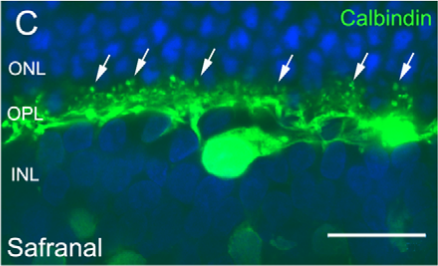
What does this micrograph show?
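This retinal section shows a horizontal cell and its terminals in the outer plexiform layer. A rounded green cell body sits in the upper inner nuclear layer, with thick processes running sideways from it along the plexiform band. Many fine, short green tips sprout upward from the band and end at the base of the outer nuclear layer. The outer nuclear layer above contains several rows of packed oval blue nuclei.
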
